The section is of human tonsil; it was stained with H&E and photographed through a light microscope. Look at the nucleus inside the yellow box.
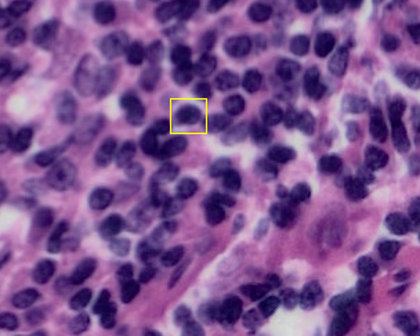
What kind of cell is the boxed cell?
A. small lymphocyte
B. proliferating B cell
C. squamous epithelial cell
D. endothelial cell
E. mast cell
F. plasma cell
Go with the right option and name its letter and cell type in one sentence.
Since the boxed cell is a small lymphocyte, the right option is A.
